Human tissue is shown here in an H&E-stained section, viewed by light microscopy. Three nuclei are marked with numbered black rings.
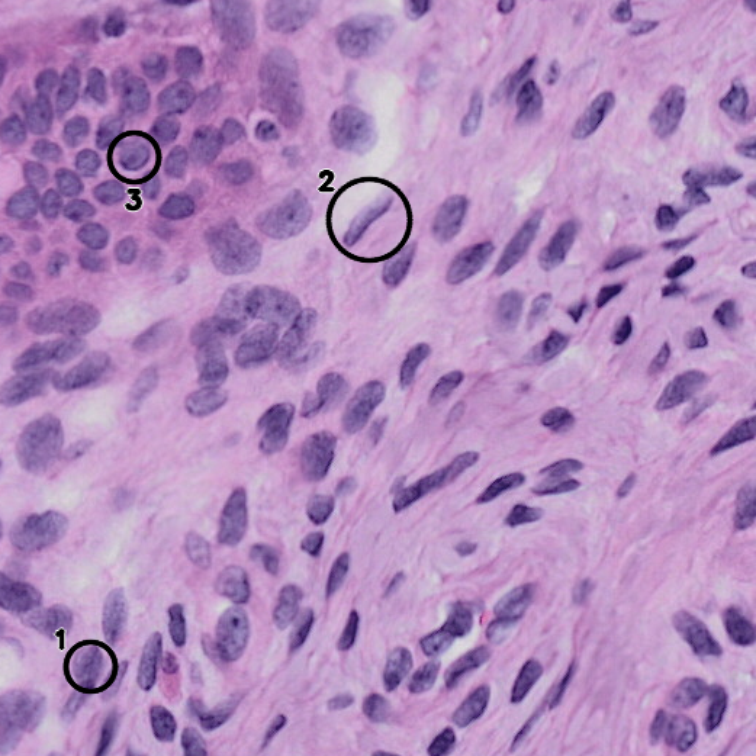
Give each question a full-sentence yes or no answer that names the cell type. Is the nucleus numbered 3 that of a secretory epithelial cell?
Yes, in this section the cell with number 3 is a secretory epithelial cell.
